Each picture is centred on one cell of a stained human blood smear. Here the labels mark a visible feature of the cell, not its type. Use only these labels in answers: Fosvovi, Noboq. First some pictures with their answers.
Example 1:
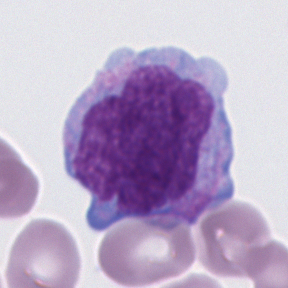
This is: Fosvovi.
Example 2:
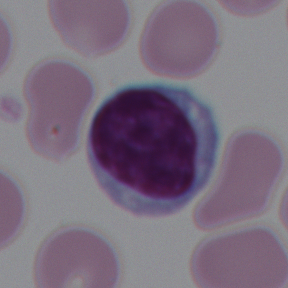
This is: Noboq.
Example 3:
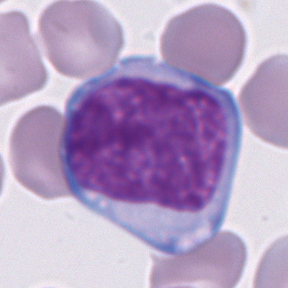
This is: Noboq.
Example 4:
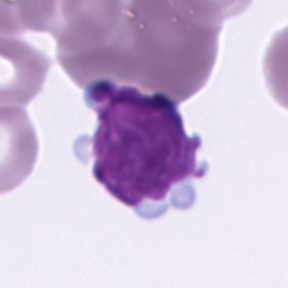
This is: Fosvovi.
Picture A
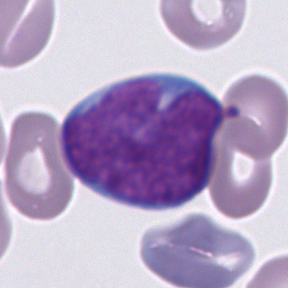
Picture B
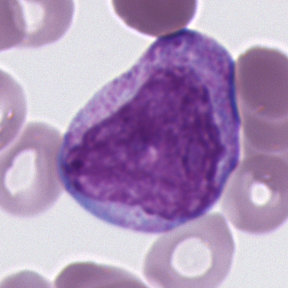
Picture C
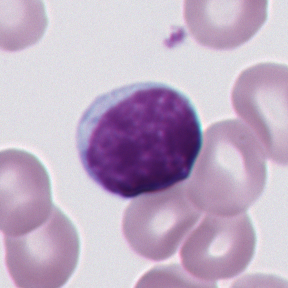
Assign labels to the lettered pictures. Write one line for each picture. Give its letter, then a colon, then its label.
A: Fosvovi.
B: Noboq.
C: Noboq.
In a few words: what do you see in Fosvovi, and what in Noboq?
Seen in Fosvovi: ragged outline or projections; seen in Noboq: smooth outline.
